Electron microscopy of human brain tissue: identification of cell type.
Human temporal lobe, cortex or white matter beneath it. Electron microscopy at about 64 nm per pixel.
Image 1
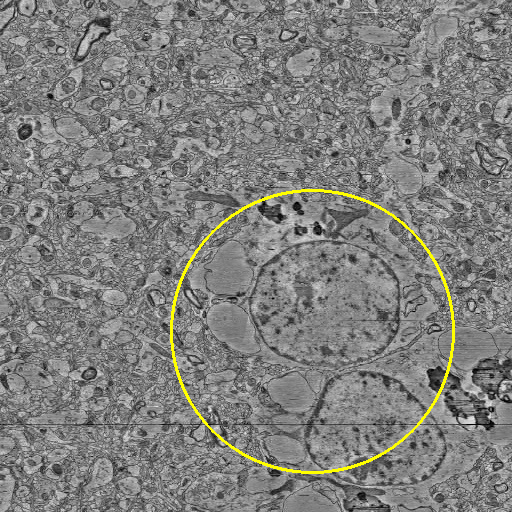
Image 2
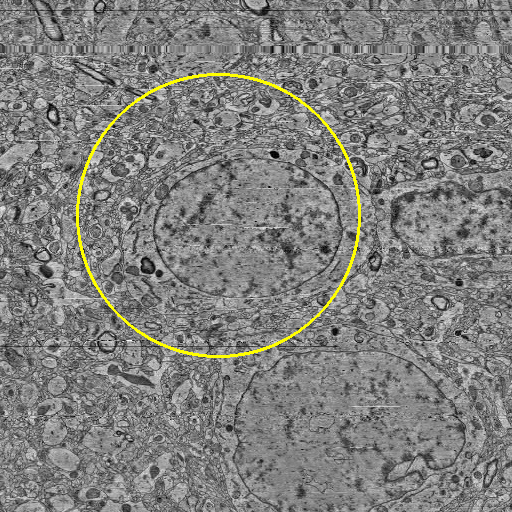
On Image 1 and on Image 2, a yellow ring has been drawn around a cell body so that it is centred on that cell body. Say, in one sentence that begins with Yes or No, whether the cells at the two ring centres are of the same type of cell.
No, the two cells are two separate types of cell.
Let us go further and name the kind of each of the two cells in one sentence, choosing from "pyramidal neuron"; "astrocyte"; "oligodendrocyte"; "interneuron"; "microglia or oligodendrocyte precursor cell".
The ring of the first picture is on an astrocyte, the ring of the second on a pyramidal neuron.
